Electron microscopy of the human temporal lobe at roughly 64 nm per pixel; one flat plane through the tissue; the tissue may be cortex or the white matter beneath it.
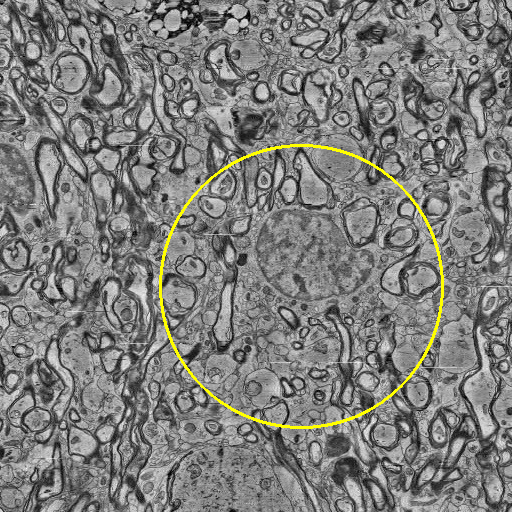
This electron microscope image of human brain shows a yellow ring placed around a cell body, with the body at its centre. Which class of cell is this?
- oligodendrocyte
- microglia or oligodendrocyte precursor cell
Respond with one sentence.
The cell body at the ring's centre is an oligodendrocyte.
